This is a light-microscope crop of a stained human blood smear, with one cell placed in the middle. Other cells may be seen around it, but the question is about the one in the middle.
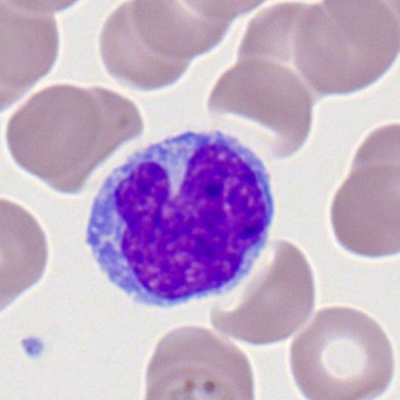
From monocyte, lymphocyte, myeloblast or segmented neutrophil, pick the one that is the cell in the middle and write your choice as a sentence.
The cell featured at the centre of this crop is a monocyte.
